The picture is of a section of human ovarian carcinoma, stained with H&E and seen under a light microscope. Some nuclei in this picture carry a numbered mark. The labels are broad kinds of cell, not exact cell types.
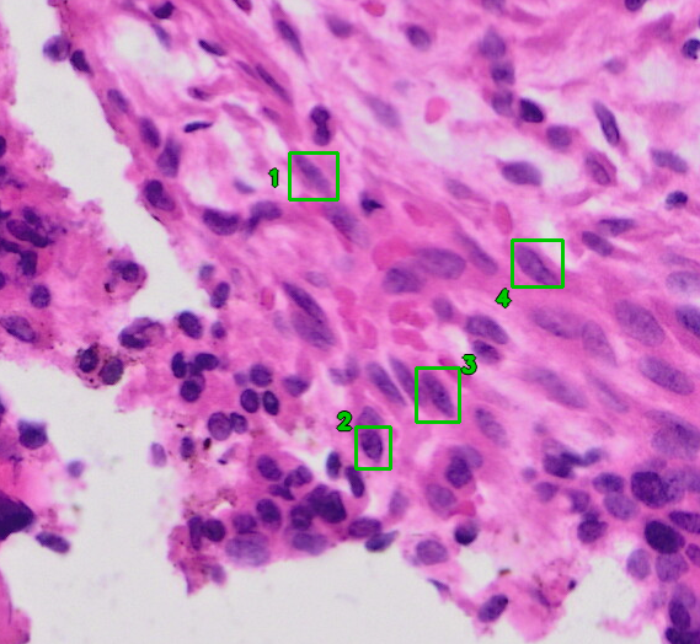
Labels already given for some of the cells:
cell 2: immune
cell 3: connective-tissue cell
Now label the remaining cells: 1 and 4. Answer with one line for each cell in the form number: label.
1: connective-tissue cell
4: connective-tissue cell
